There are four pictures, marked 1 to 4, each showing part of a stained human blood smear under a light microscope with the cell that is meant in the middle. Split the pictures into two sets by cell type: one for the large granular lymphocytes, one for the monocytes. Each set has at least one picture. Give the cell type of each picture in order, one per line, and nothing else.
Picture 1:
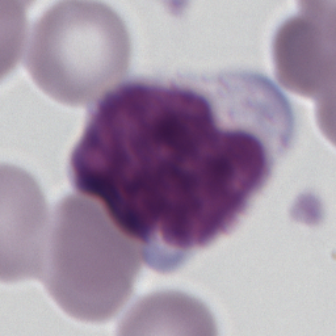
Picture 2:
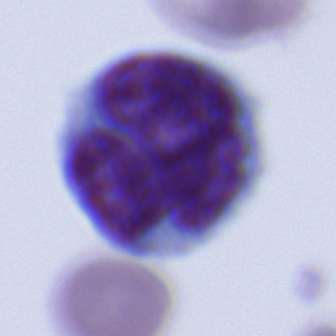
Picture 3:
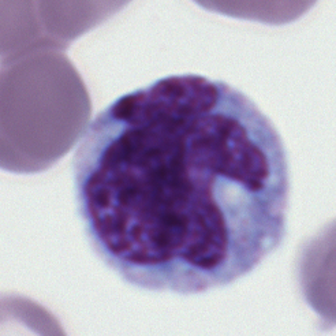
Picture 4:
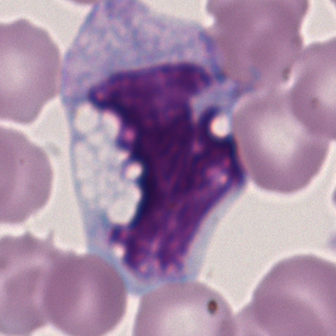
large granular lymphocyte
monocyte
monocyte
monocyte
